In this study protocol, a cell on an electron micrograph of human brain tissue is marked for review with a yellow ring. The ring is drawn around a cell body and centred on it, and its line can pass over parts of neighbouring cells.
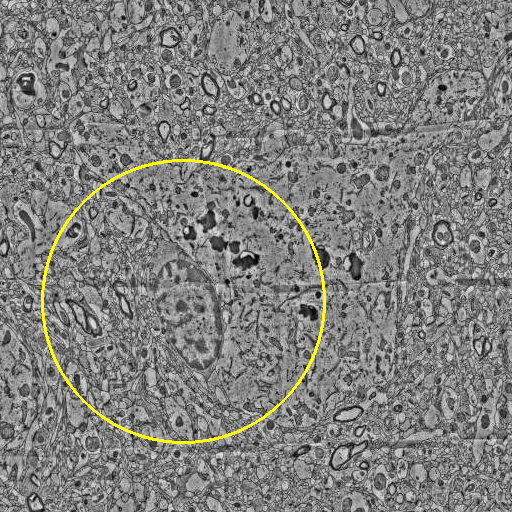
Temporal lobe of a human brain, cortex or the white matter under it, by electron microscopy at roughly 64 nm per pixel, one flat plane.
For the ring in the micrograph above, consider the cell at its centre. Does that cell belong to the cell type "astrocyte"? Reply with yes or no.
no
